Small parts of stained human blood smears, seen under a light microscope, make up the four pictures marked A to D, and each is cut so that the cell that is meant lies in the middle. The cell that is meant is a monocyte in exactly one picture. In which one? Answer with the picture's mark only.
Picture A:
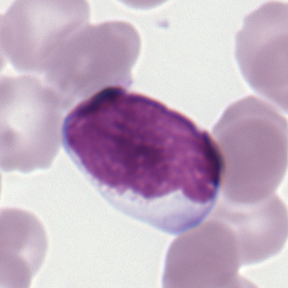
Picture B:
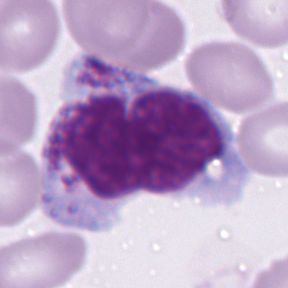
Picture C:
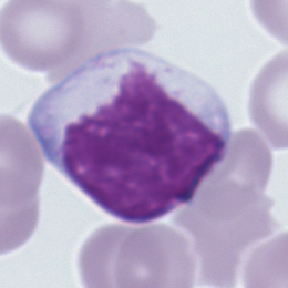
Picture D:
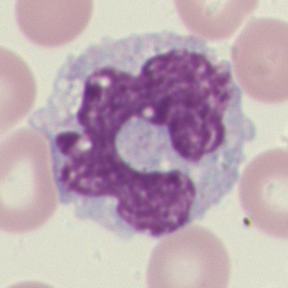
D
